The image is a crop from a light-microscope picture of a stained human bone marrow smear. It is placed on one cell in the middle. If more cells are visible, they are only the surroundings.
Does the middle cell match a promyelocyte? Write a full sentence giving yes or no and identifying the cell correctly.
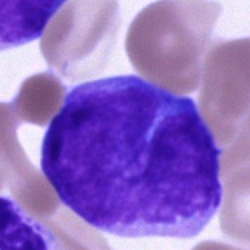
No, the cell located centrally is a blast rather than a promyelocyte.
